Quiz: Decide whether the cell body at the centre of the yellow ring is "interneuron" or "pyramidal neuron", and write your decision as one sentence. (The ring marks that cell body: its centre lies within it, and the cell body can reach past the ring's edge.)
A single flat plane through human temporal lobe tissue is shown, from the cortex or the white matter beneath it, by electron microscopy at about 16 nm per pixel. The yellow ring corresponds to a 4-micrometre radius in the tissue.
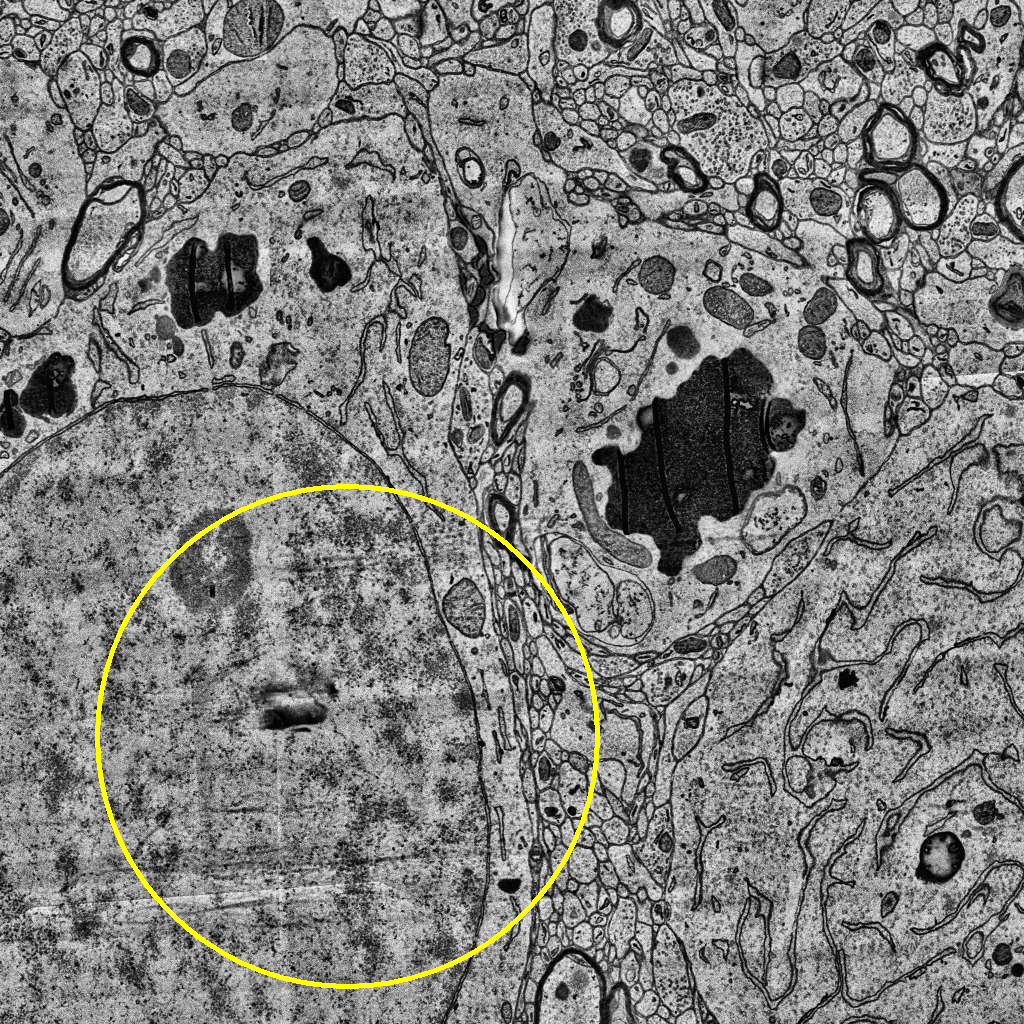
The cell holding the ring's centre is a pyramidal neuron.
